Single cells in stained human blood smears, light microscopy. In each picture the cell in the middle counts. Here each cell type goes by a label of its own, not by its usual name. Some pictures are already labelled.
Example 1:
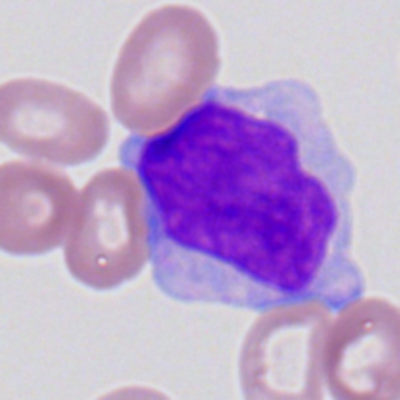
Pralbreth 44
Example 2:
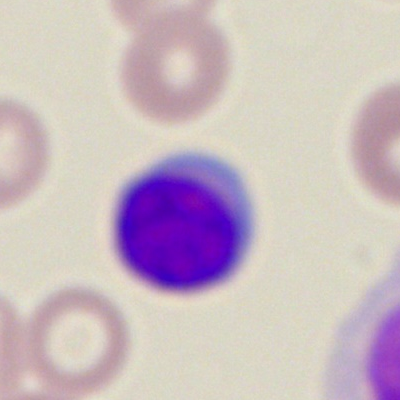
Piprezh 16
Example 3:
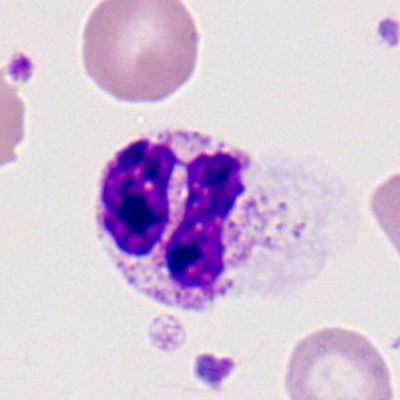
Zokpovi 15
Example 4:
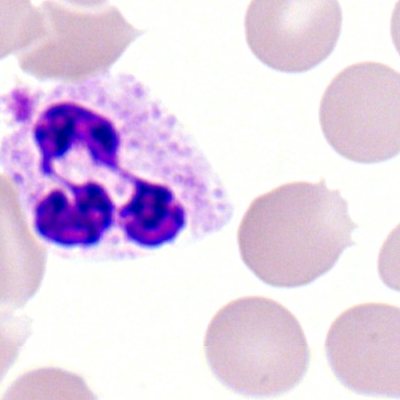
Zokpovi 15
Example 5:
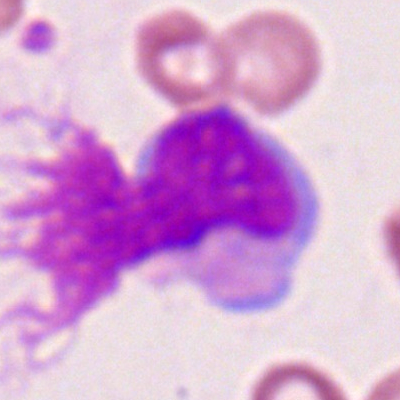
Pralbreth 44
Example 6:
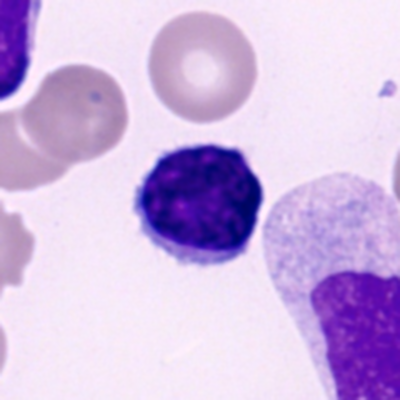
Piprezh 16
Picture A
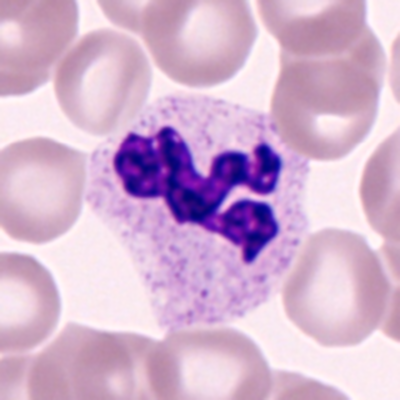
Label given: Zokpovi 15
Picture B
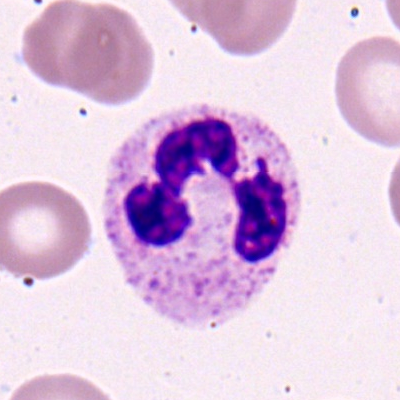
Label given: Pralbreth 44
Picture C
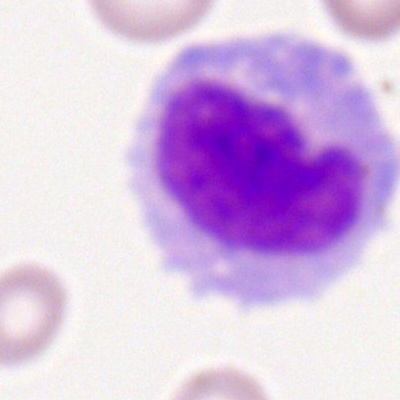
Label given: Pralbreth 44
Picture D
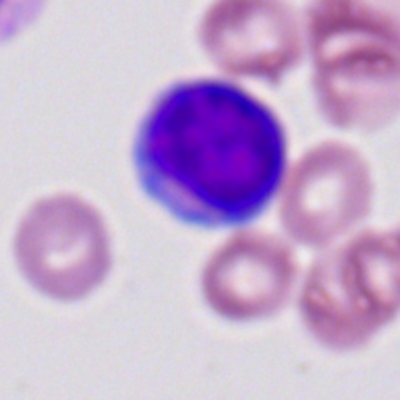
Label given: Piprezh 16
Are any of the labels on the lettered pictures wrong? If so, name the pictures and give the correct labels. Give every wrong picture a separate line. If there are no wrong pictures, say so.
Wrong: B (Pralbreth 44); correct: Zokpovi 15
